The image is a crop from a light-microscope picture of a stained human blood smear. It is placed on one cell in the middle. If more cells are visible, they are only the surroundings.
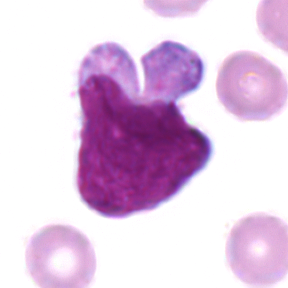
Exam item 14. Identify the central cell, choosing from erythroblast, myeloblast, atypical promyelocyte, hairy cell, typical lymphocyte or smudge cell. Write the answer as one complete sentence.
The cell at the middle of the crop is recognized as an atypical promyelocyte.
